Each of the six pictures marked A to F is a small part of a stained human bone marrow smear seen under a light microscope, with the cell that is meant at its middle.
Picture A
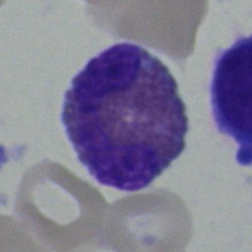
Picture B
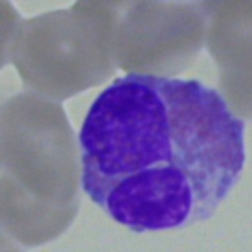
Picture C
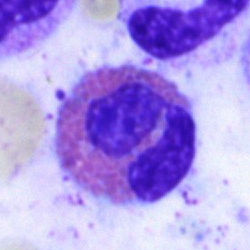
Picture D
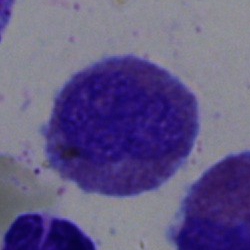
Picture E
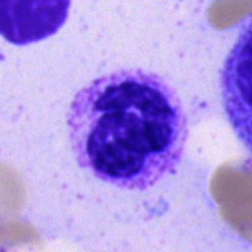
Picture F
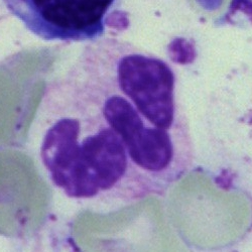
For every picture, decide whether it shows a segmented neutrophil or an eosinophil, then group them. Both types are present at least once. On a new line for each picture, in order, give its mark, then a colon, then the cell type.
A: eosinophil
B: eosinophil
C: eosinophil
D: eosinophil
E: segmented neutrophil
F: segmented neutrophil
